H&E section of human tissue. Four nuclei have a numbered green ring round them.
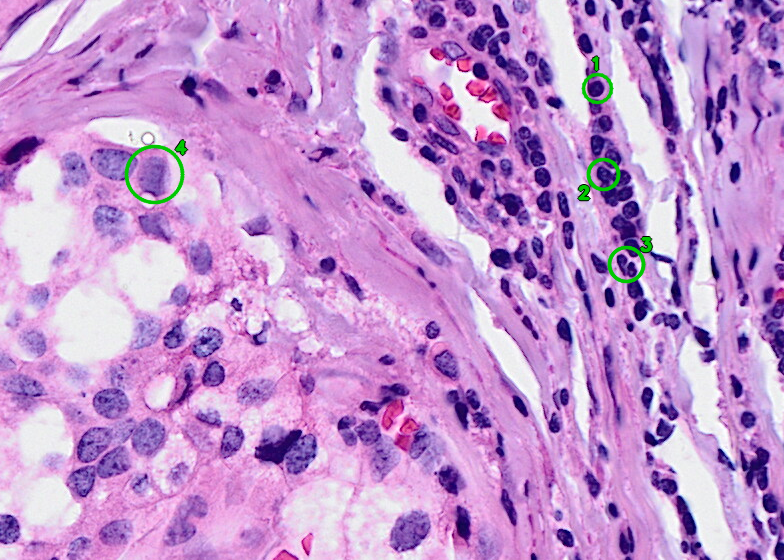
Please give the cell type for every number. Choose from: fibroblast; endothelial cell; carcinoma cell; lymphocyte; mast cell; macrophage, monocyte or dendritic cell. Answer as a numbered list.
1. lymphocyte
2. lymphocyte
3. lymphocyte
4. carcinoma cell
